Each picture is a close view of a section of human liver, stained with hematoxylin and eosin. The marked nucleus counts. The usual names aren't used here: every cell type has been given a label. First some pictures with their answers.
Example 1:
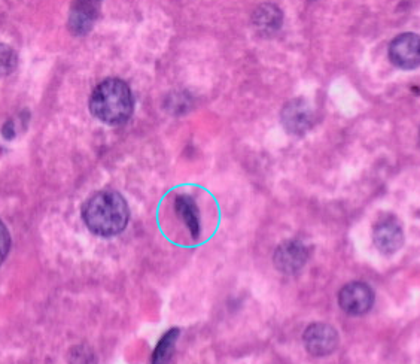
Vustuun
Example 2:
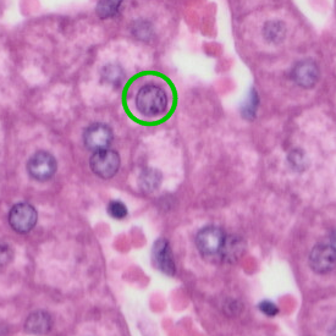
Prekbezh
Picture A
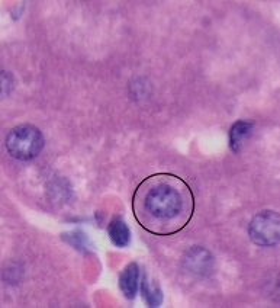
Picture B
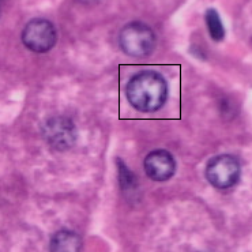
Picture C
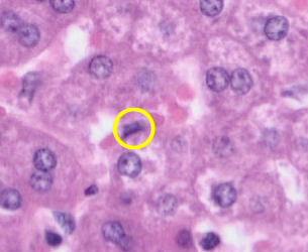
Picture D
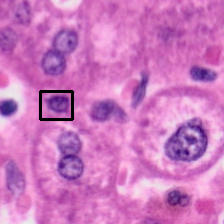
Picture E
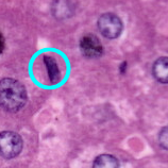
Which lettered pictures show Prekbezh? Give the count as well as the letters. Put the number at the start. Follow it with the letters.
Count: 2 (A, B)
